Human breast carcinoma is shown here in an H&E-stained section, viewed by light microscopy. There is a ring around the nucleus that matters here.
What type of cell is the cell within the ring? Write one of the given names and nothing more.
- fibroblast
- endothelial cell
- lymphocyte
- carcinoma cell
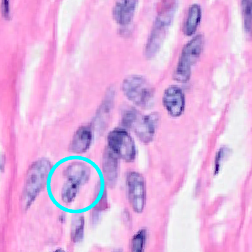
endothelial cell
